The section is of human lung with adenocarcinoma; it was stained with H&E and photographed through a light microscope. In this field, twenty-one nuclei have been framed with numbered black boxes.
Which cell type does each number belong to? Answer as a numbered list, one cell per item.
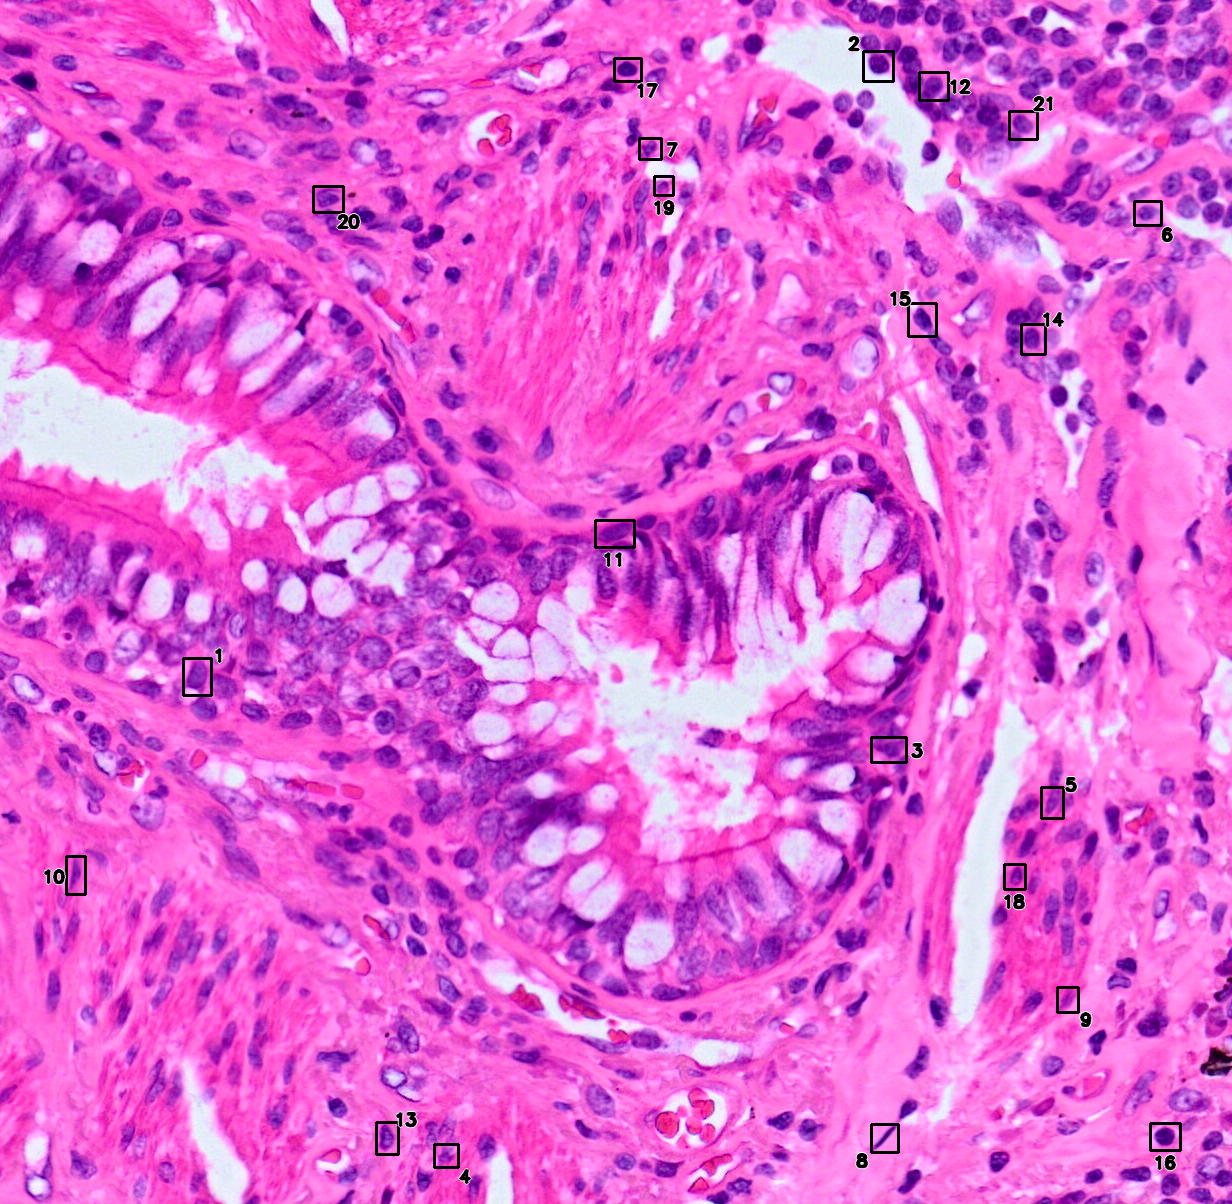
1. ciliated epithelial cell
2. lymphocyte
3. ciliated epithelial cell
4. smooth muscle cell or pericyte
5. smooth muscle cell or pericyte
6. lymphocyte
7. smooth muscle cell or pericyte
8. fibroblast
9. smooth muscle cell or pericyte
10. smooth muscle cell or pericyte
11. ciliated epithelial cell
12. lymphocyte
13. mast cell
14. lymphocyte
15. lymphocyte
16. lymphocyte
17. lymphocyte
18. smooth muscle cell or pericyte
19. smooth muscle cell or pericyte
20. lymphocyte
21. lymphocyte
